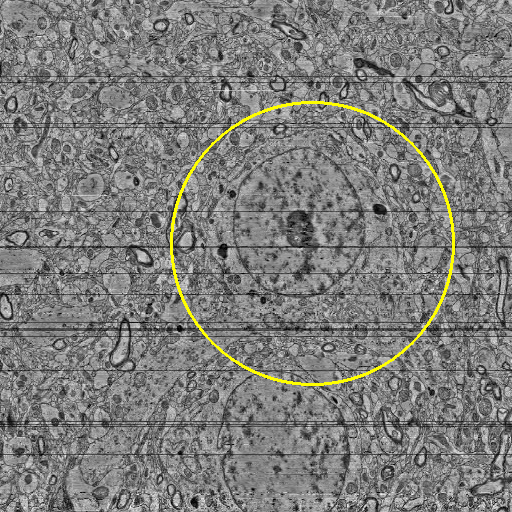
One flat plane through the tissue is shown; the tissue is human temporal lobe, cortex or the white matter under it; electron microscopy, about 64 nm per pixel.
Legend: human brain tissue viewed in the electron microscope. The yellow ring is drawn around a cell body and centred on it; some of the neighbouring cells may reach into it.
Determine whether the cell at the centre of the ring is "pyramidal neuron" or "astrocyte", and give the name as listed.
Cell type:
pyramidal neuron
